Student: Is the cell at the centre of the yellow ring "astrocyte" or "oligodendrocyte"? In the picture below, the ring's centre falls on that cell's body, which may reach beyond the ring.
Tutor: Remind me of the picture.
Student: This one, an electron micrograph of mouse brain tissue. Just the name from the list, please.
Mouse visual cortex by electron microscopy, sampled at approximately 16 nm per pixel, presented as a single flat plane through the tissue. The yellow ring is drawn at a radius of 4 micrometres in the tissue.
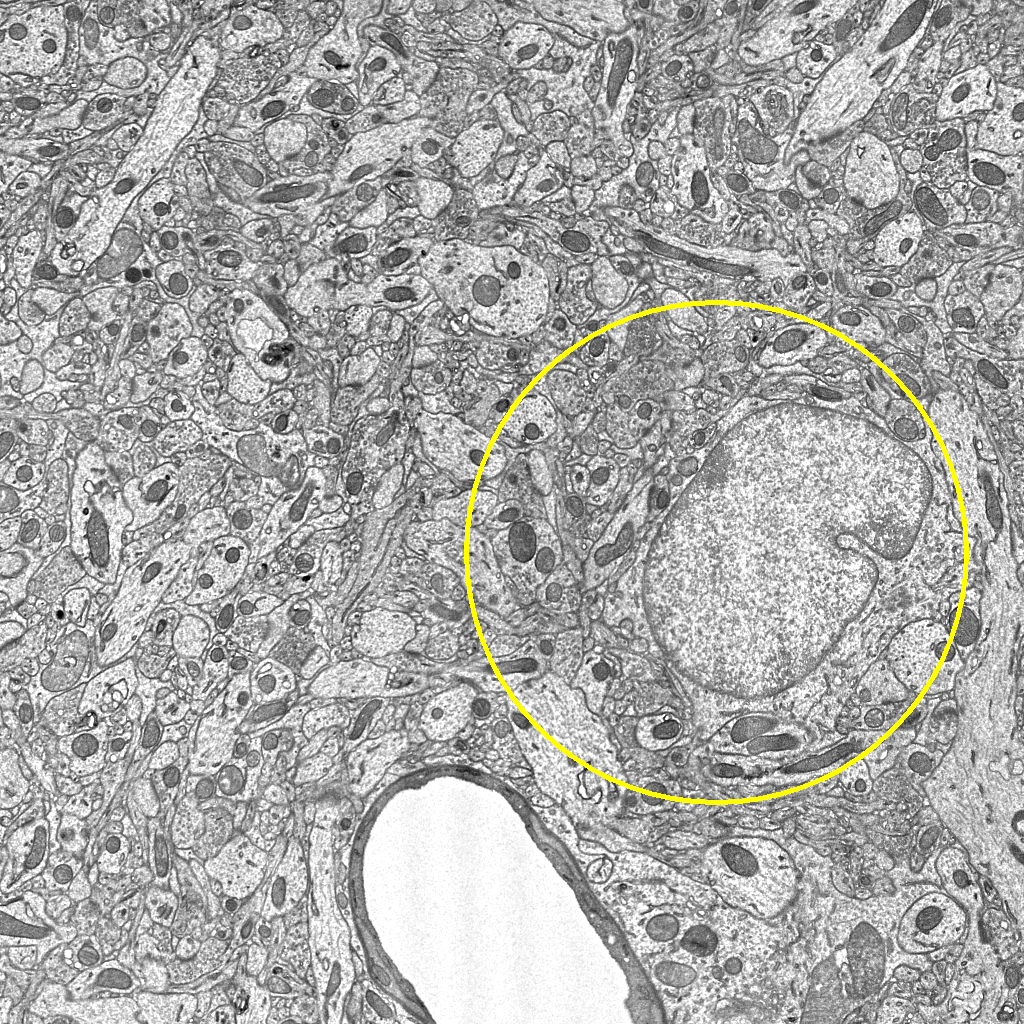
astrocyte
